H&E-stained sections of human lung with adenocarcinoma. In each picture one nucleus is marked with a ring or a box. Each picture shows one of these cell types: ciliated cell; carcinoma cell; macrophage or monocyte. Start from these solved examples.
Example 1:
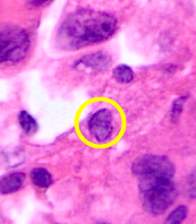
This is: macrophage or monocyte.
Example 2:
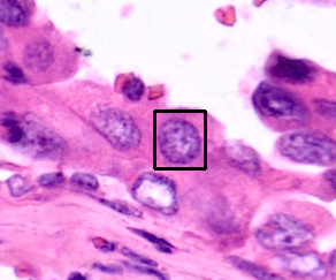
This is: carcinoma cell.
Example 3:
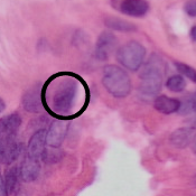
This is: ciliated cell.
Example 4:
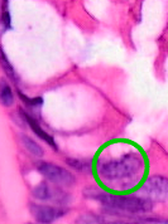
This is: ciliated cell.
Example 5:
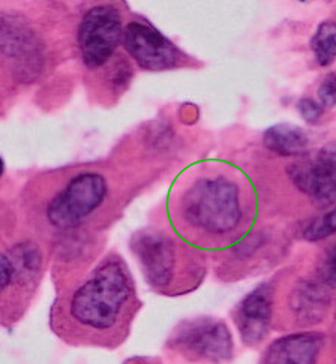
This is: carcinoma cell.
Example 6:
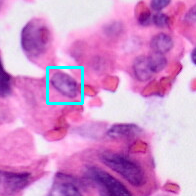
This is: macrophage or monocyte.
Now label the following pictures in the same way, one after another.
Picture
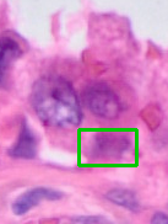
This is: carcinoma cell.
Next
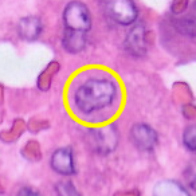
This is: macrophage or monocyte.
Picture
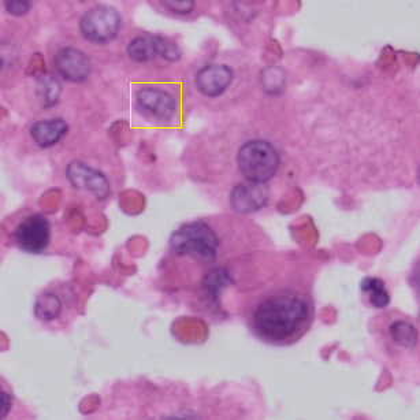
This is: macrophage or monocyte.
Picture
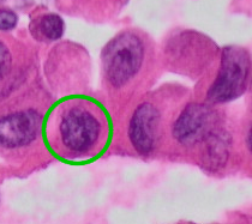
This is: carcinoma cell.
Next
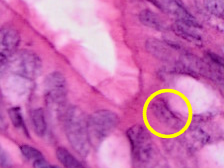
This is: ciliated cell.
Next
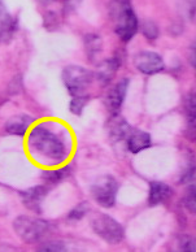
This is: ciliated cell.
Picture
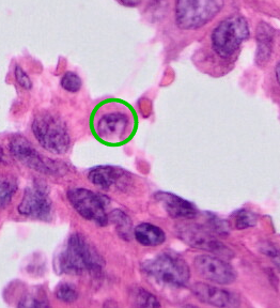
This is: macrophage or monocyte.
